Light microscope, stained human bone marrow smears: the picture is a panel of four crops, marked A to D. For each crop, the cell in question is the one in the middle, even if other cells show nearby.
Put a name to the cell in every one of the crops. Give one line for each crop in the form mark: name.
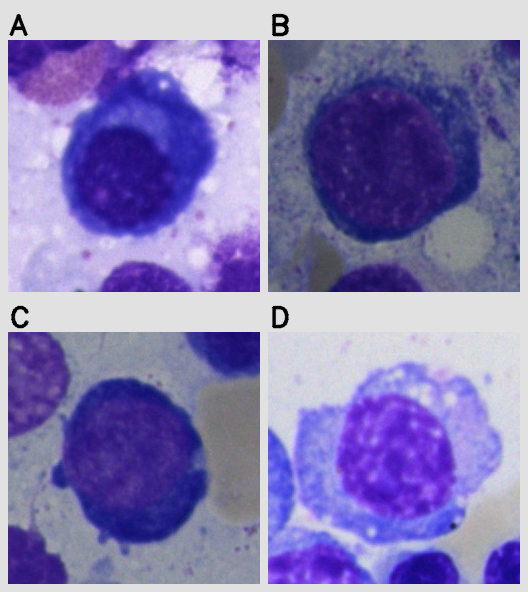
A: plasma cell
B: proerythroblast
C: proerythroblast
D: plasma cell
